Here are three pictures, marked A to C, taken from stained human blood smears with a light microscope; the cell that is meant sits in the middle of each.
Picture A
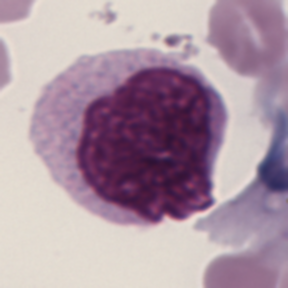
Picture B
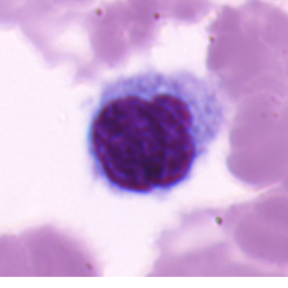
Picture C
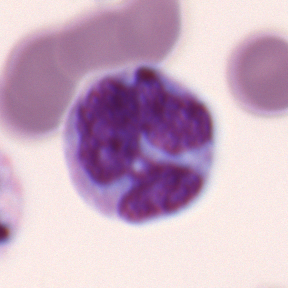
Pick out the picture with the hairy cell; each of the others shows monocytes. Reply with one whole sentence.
The cell in picture B is the hairy cell.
